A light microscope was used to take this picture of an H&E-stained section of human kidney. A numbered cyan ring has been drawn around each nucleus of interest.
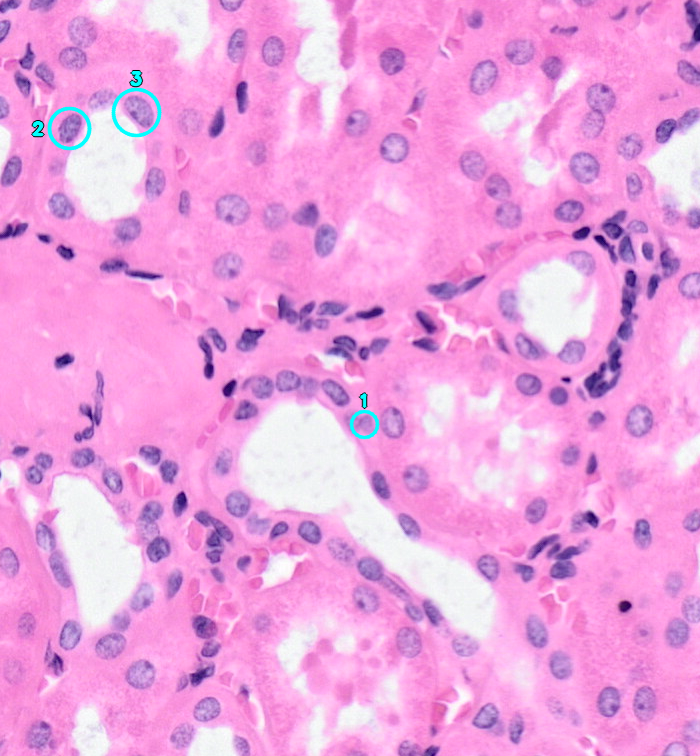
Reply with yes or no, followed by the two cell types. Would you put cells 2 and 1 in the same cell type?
No, cell 2 is a loop of Henle or distal tubule cell and cell 1 is a collecting duct cell.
